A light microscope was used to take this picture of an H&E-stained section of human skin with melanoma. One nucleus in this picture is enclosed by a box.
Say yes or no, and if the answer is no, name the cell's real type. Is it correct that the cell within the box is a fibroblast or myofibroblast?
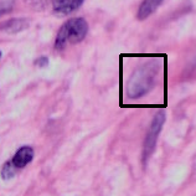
Yes.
